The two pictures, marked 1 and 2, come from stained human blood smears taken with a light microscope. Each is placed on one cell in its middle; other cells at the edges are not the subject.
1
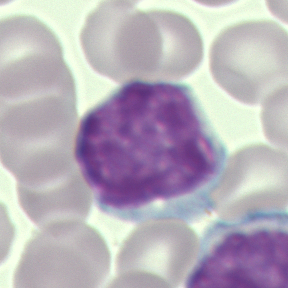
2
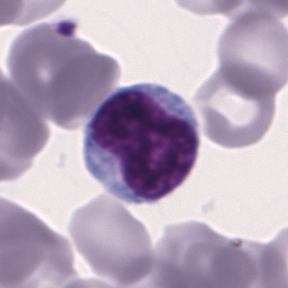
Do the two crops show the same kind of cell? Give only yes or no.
yes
